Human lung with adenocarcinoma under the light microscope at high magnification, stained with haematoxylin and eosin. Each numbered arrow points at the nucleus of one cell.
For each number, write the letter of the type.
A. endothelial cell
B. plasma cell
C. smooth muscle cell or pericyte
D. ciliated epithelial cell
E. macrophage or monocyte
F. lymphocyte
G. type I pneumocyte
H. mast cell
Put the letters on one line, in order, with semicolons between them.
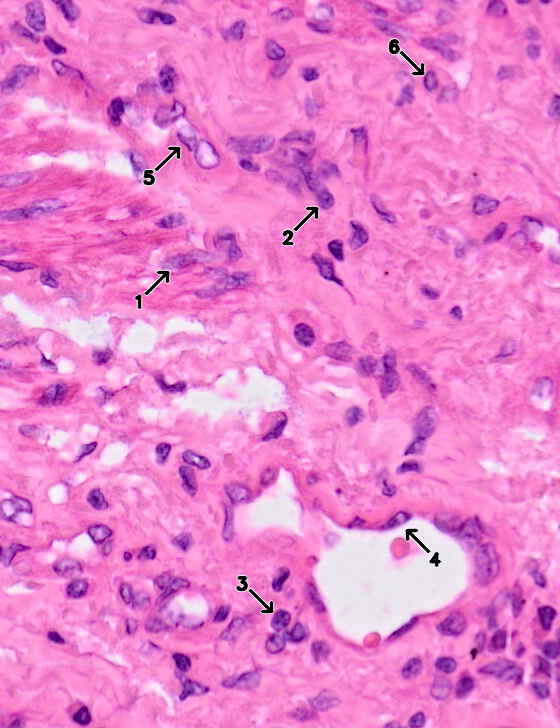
C; F; F; A; A; H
